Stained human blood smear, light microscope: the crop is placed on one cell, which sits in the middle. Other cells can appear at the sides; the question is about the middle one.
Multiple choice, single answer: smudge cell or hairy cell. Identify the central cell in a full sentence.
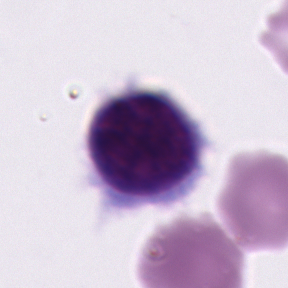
Here the centrally located cell is a hairy cell.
